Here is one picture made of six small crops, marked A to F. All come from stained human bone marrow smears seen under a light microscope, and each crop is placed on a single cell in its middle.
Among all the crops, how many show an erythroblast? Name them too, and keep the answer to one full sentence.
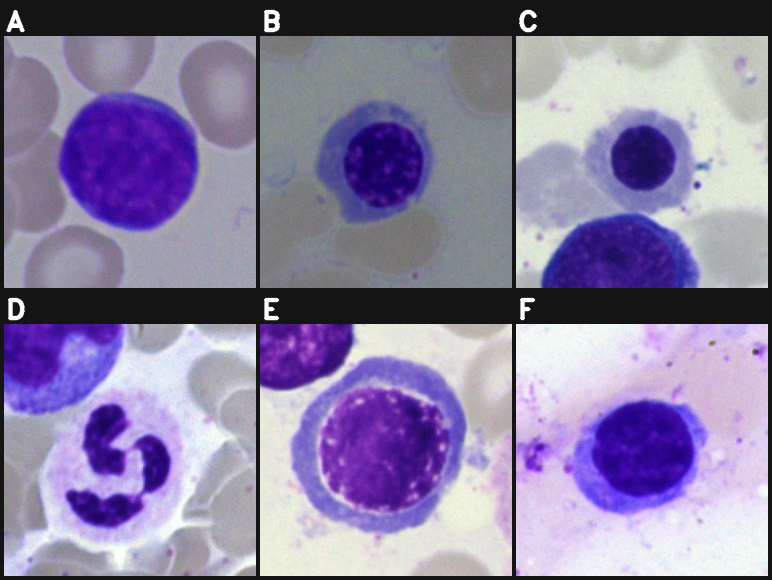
The crops depicting erythroblasts, three in total, are B, C and E.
